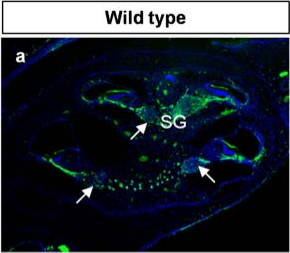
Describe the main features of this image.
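This section through the cochlea shows the coiled duct cut in several turns around a central core, with the spiral ganglion lying beside each turn. The neurons of the ganglion and their fibres appear as bright green clusters and dots, grouped next to the core of the coil. Green fibres run from the ganglion out toward the fluid-filled chambers of each turn. The surrounding tissue is made out only by the blue nuclei, which are densely packed around the chambers and in the walls of the coil. The chambers themselves are dark and empty.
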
